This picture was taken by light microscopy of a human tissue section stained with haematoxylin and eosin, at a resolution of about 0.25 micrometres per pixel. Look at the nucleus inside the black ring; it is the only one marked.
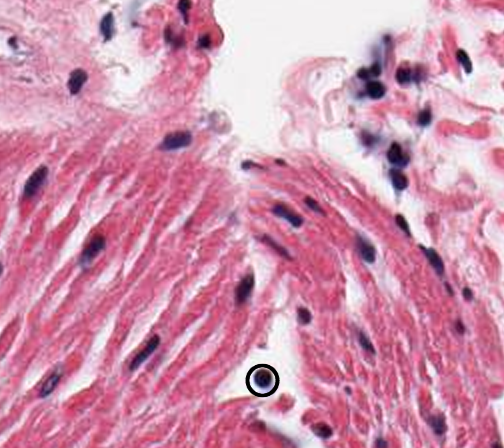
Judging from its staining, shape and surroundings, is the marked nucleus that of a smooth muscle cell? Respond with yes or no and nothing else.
no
